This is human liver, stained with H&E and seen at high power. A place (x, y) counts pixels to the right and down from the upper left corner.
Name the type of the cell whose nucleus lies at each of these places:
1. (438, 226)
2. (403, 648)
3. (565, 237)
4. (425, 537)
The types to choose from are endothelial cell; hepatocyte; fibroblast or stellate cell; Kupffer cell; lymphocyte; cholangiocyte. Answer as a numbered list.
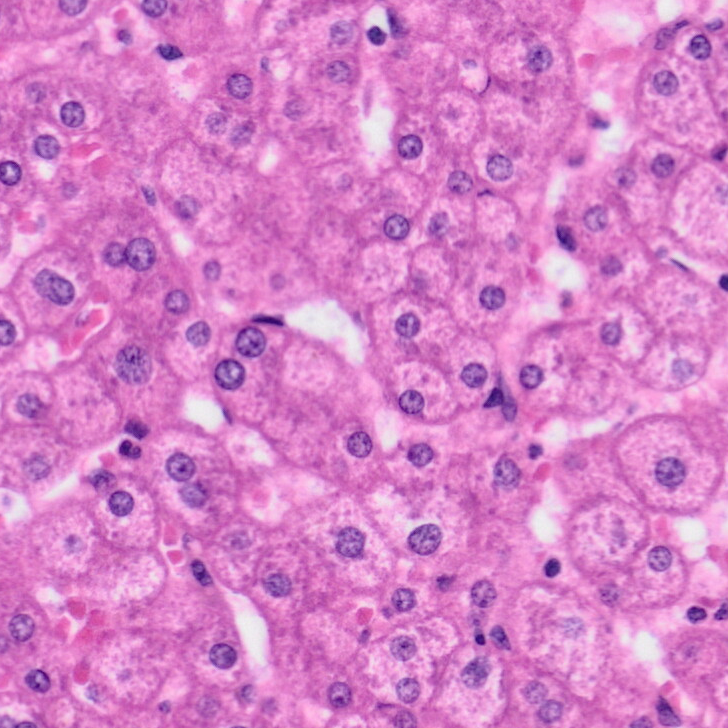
1. hepatocyte
2. hepatocyte
3. fibroblast or stellate cell
4. hepatocyte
